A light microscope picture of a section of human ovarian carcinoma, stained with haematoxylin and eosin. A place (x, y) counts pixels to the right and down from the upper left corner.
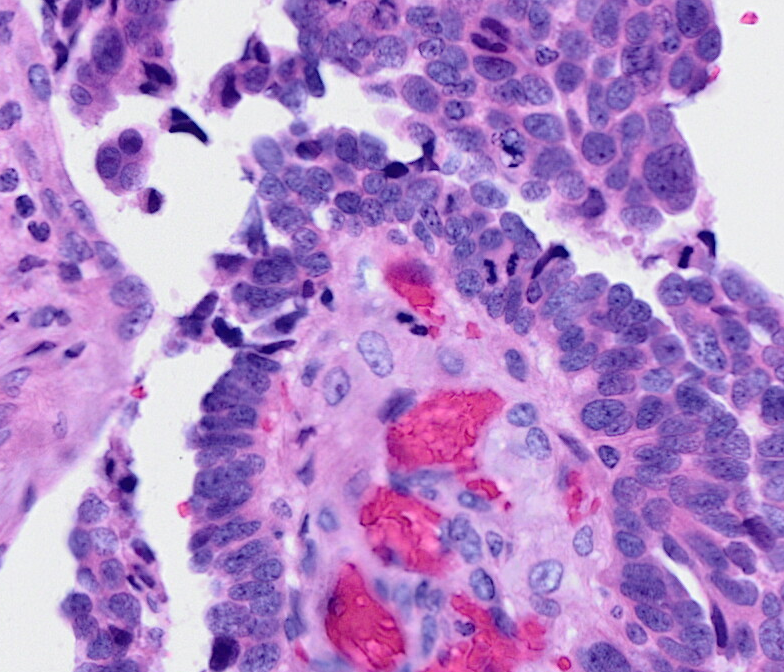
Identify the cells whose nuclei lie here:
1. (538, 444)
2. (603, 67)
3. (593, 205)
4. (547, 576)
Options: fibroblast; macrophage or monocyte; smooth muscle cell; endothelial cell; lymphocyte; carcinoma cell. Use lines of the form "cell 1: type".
cell 1: fibroblast
cell 2: carcinoma cell
cell 3: carcinoma cell
cell 4: fibroblast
